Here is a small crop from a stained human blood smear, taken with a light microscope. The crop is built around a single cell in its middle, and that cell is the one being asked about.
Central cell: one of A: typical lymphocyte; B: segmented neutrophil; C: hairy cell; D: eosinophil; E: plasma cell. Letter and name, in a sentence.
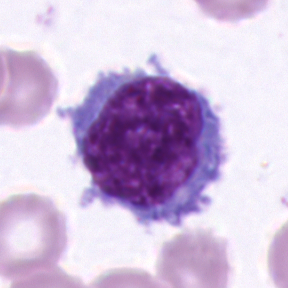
The cell in the middle is correctly identified as a plasma cell in option E.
